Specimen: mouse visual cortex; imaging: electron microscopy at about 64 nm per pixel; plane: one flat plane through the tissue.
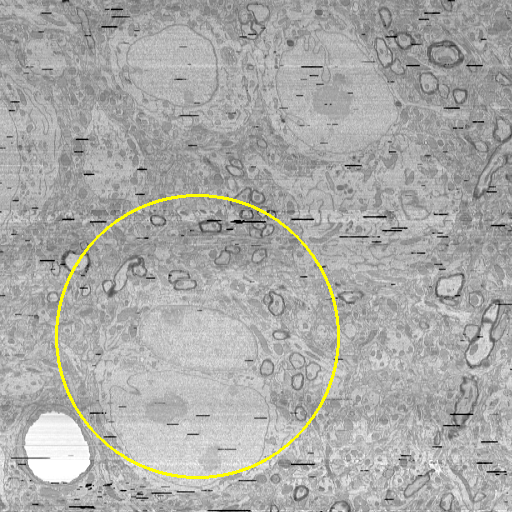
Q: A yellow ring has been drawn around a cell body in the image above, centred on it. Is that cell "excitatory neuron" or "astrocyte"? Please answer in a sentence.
The ring surrounds the cell body of an astrocyte.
